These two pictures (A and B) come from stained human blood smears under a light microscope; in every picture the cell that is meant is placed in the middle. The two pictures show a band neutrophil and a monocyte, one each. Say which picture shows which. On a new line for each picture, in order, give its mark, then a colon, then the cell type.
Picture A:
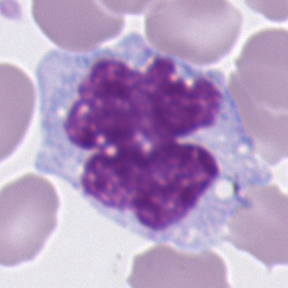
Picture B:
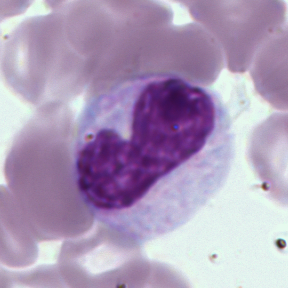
A: monocyte
B: band neutrophil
